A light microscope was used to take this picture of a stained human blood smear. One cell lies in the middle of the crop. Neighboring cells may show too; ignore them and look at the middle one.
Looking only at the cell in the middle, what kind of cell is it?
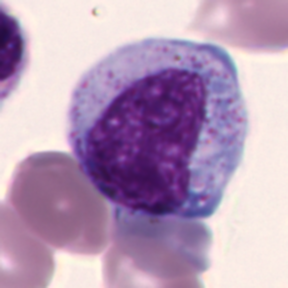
promyelocyte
